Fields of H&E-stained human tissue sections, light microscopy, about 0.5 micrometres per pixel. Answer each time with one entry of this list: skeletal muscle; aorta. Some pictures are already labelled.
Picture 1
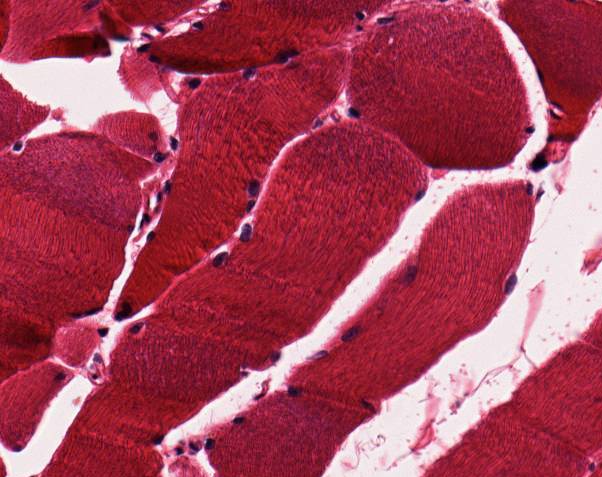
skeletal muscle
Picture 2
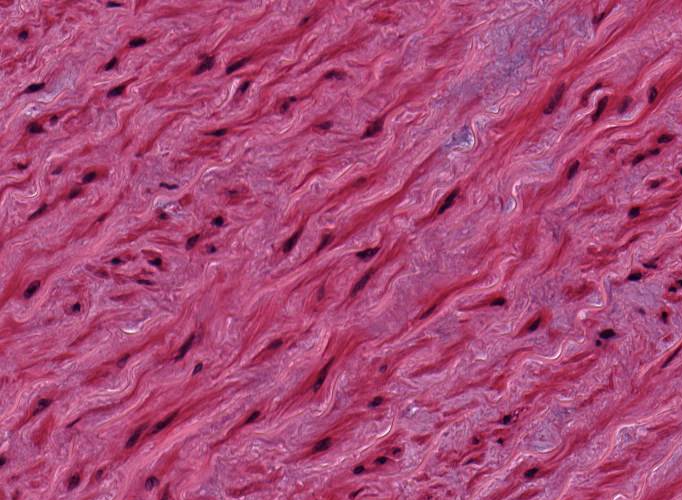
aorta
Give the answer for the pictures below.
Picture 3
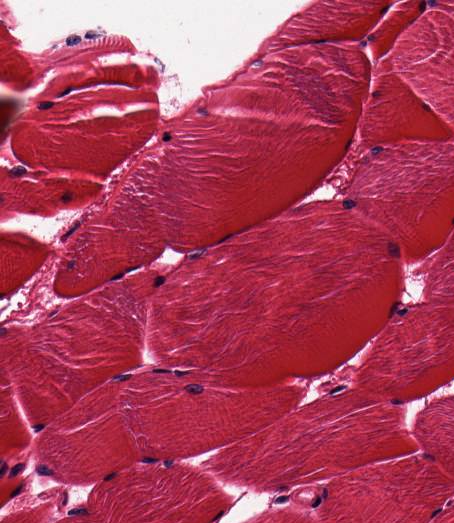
skeletal muscle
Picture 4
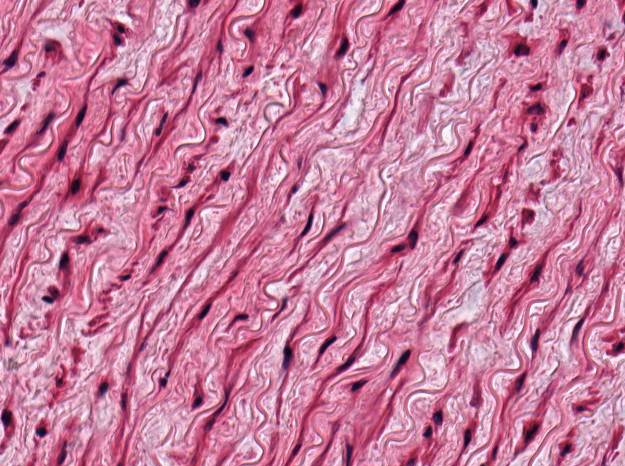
aorta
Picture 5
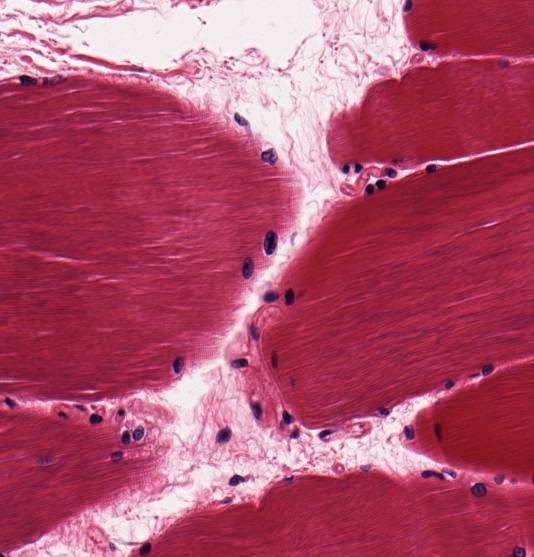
skeletal muscle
